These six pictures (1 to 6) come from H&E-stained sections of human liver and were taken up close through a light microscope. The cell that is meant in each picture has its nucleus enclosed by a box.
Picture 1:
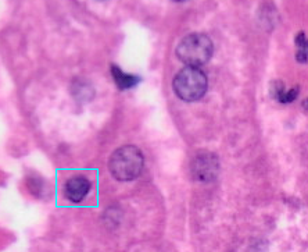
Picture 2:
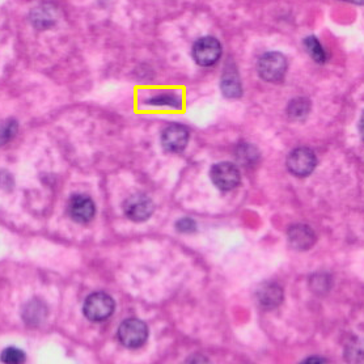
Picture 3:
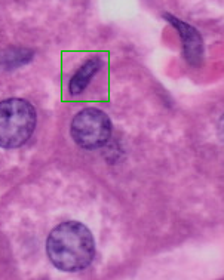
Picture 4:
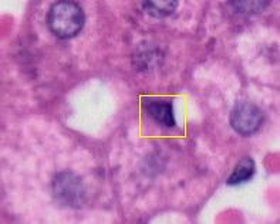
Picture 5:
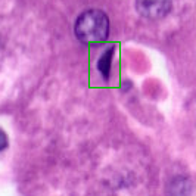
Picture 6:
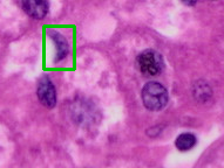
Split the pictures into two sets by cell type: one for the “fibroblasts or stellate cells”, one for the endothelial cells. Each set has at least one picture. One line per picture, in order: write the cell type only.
fibroblast or stellate cell
endothelial cell
fibroblast or stellate cell
fibroblast or stellate cell
fibroblast or stellate cell
endothelial cell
